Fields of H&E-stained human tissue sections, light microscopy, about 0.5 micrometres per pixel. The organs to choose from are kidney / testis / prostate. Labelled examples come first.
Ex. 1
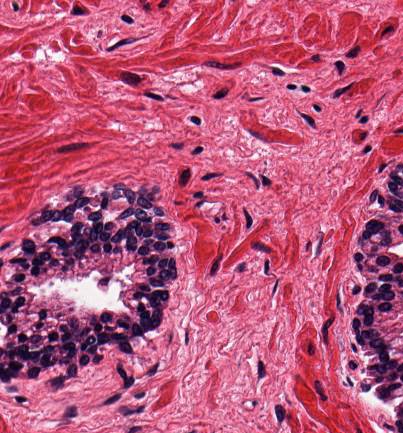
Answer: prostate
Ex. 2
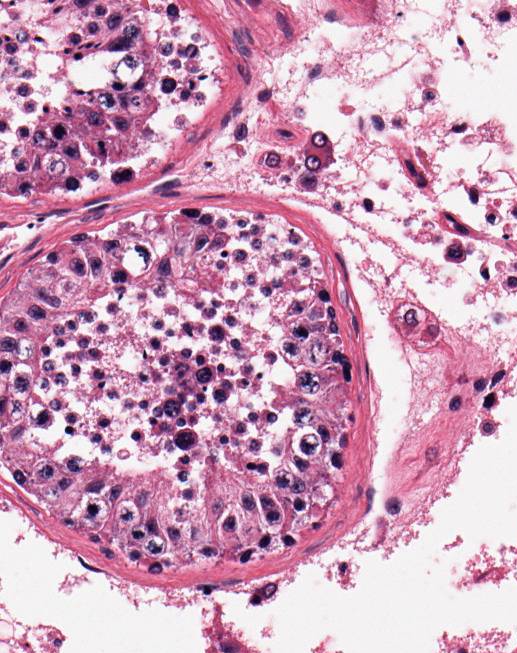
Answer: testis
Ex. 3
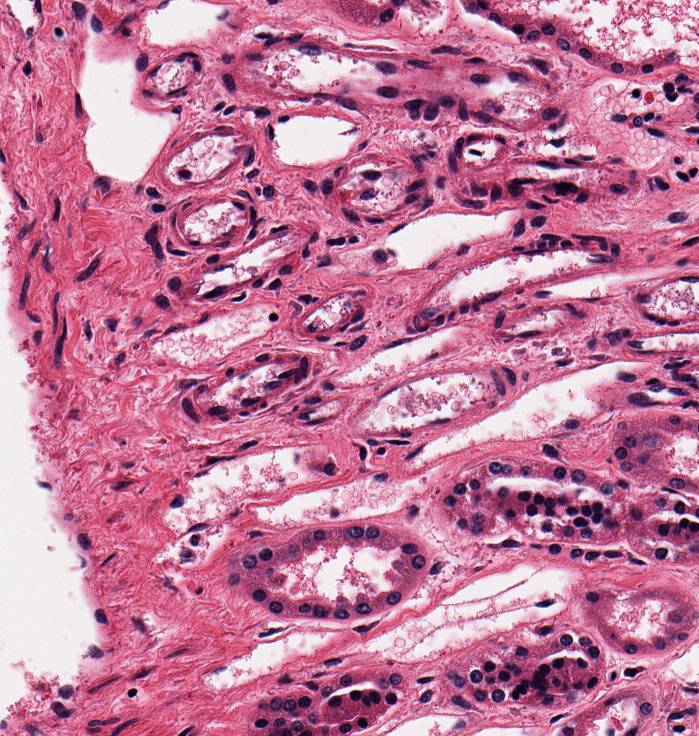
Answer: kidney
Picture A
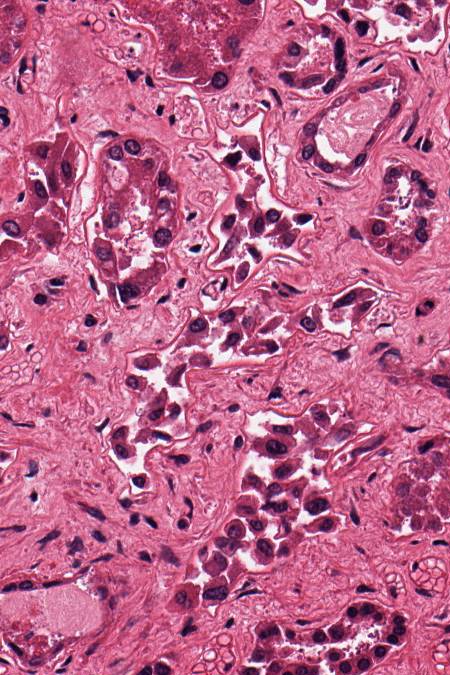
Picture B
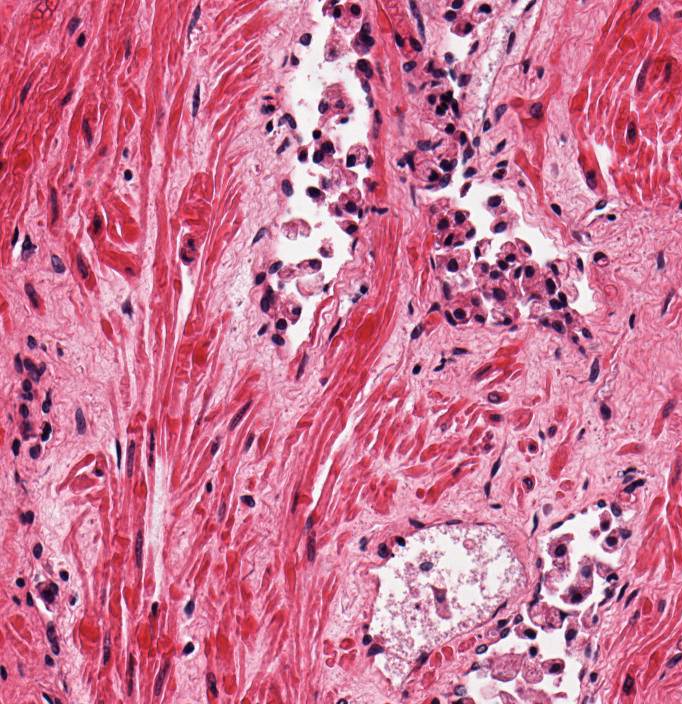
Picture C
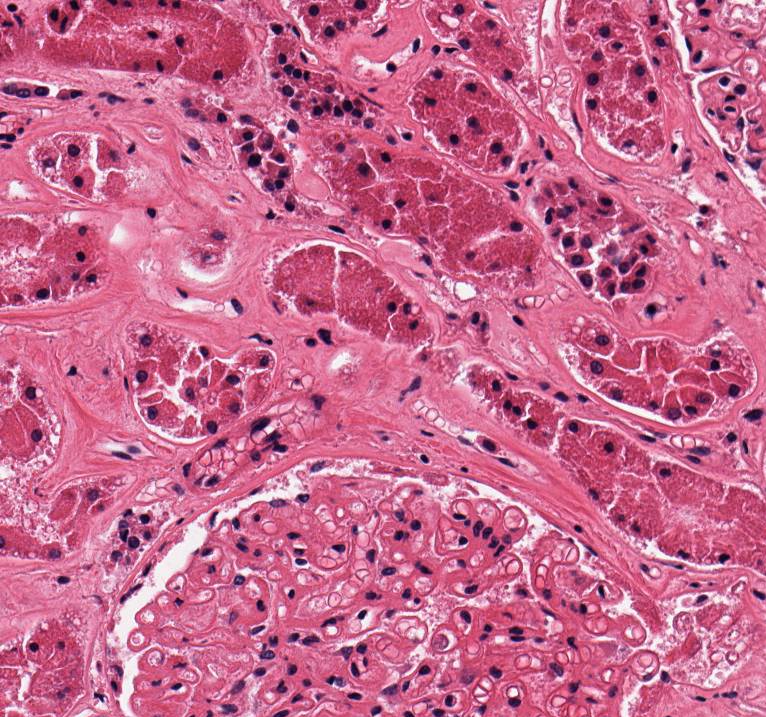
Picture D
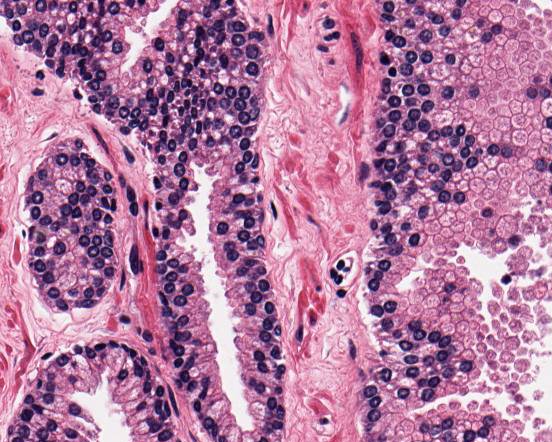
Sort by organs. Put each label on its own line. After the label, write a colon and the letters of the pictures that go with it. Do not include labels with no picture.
kidney: A, C
prostate: B, D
